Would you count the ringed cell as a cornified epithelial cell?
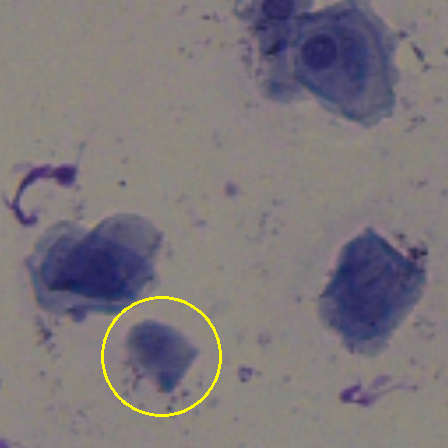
Yes, I would count it as a cornified epithelial cell.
